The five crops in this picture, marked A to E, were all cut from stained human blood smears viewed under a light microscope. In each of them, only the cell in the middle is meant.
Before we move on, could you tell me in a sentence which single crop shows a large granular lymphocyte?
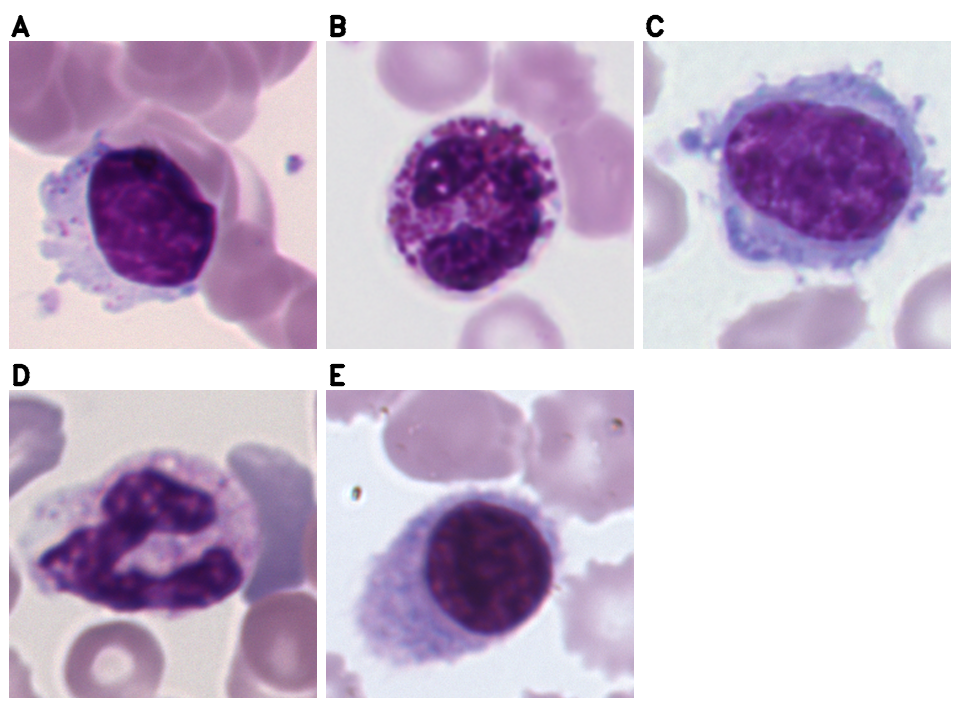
Crop A is the one in the set with a large granular lymphocyte at the center.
